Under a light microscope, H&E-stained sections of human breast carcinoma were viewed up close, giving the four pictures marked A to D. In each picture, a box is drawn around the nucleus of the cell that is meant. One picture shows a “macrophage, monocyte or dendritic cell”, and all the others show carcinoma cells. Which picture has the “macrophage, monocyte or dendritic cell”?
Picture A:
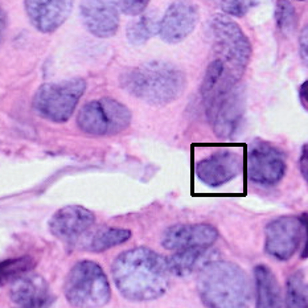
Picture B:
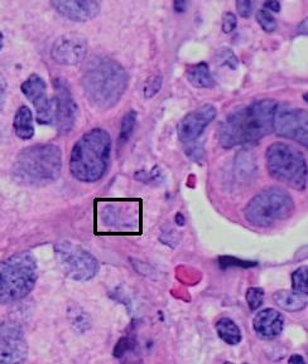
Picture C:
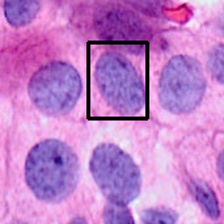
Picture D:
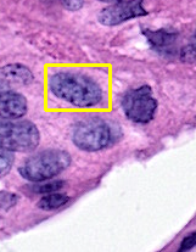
B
